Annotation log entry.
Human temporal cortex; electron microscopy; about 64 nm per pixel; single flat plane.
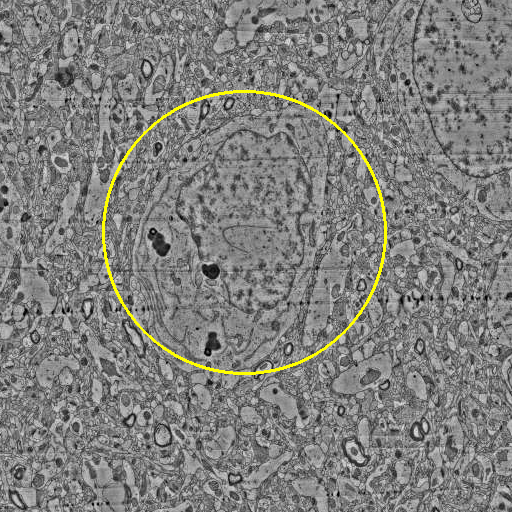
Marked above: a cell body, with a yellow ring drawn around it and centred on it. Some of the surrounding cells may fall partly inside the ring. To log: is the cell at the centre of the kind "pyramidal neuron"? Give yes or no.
No, the cell at the centre is of another kind.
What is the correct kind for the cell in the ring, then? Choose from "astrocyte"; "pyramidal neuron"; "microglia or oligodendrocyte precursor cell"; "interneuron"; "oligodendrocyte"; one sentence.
Instead, the picture shows an interneuron at the centre of the ring.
